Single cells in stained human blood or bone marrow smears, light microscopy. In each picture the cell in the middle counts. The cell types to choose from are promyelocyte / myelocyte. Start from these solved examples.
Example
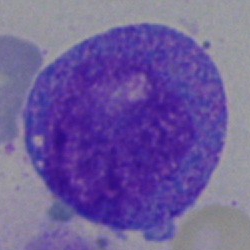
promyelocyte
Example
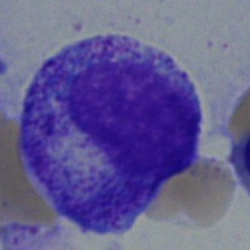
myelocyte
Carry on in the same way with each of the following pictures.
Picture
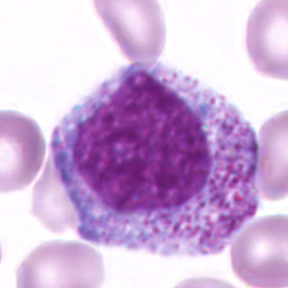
promyelocyte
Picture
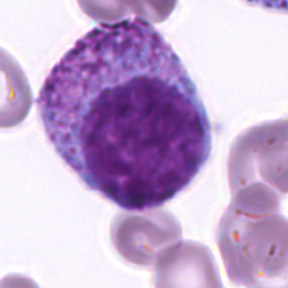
promyelocyte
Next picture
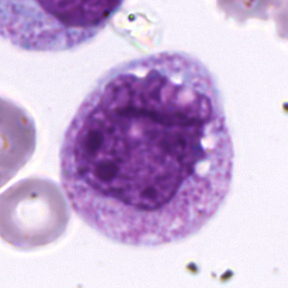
myelocyte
